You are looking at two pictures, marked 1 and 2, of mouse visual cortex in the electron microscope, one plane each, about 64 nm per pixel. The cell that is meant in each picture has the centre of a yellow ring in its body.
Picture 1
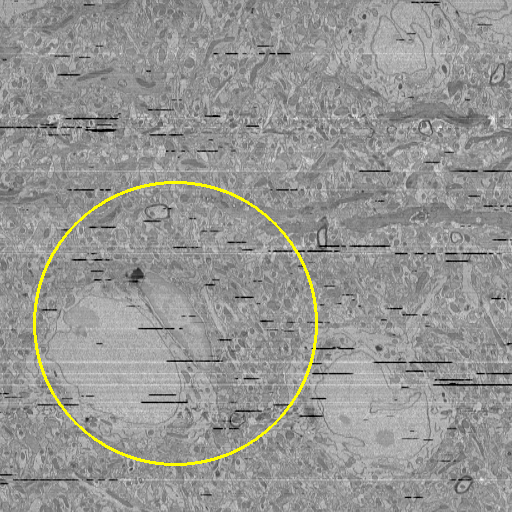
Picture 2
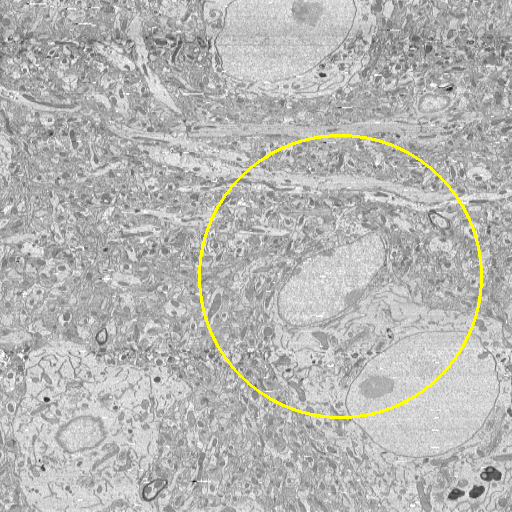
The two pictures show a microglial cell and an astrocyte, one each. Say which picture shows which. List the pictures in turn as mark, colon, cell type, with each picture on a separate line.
1: microglial cell
2: astrocyte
